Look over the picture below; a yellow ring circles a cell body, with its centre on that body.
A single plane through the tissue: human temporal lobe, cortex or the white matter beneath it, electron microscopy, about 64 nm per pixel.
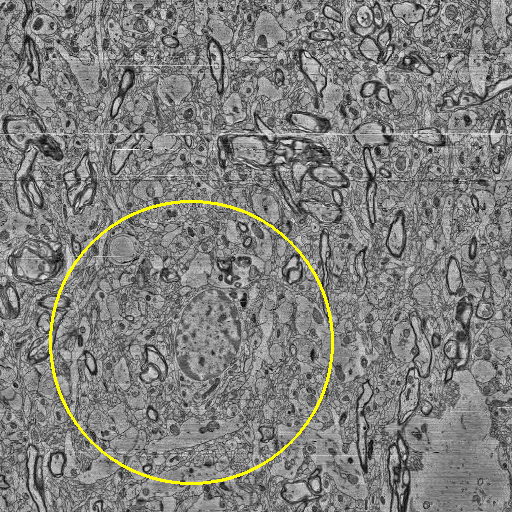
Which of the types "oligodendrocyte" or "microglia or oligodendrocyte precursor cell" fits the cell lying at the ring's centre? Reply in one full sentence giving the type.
The picture shows a microglial cell or oligodendrocyte precursor cell at the centre of the yellow ring.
